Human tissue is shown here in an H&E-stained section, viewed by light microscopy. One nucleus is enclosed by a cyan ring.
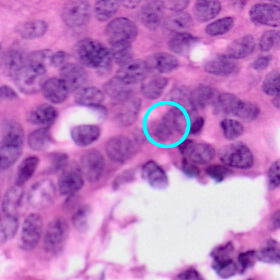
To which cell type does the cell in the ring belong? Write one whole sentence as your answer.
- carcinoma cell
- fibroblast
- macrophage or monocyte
The cell in the ring appears to be a carcinoma cell.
